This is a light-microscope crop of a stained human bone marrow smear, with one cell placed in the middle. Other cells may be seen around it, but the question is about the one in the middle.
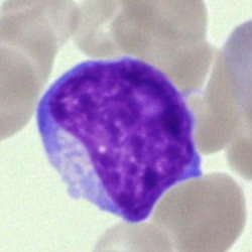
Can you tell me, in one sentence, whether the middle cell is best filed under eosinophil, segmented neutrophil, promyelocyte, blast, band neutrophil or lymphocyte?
The cell at the middle of the crop is recognized as a blast.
